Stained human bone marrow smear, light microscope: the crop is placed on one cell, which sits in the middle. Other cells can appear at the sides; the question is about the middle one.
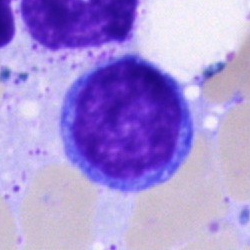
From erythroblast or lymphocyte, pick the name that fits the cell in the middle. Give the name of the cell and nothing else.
lymphocyte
